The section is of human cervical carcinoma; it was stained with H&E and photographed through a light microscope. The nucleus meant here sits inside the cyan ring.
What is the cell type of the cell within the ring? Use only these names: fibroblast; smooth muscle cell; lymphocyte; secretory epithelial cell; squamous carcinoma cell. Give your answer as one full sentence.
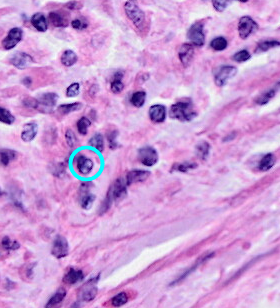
For cell typing purposes, the cell within the ring is a lymphocyte.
